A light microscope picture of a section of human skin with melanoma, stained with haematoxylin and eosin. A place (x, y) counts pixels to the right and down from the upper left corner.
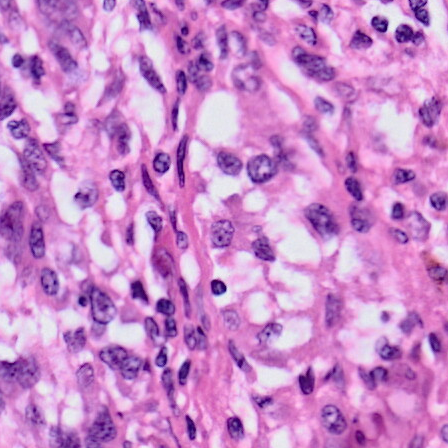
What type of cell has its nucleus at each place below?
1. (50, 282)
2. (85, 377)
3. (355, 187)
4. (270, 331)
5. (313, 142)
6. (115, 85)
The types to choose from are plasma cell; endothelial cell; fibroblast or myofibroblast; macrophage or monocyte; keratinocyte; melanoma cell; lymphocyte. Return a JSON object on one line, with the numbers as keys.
{"1": "melanoma cell", "2": "melanoma cell", "3": "lymphocyte", "4": "melanoma cell", "5": "fibroblast or myofibroblast", "6": "melanoma cell"}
